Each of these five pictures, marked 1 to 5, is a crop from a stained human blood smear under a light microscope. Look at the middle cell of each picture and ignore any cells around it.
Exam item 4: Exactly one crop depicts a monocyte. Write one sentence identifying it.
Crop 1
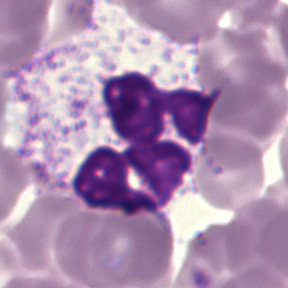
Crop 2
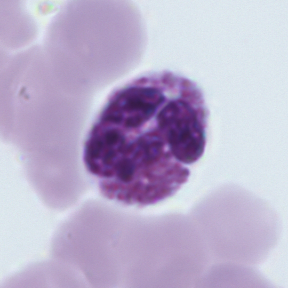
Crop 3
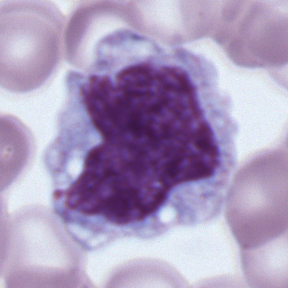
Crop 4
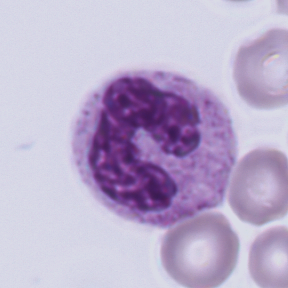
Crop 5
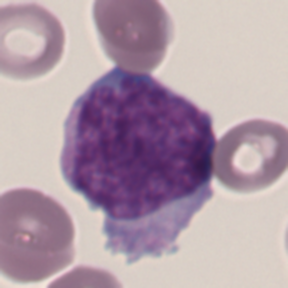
The one crop that shows a monocyte is crop 3.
